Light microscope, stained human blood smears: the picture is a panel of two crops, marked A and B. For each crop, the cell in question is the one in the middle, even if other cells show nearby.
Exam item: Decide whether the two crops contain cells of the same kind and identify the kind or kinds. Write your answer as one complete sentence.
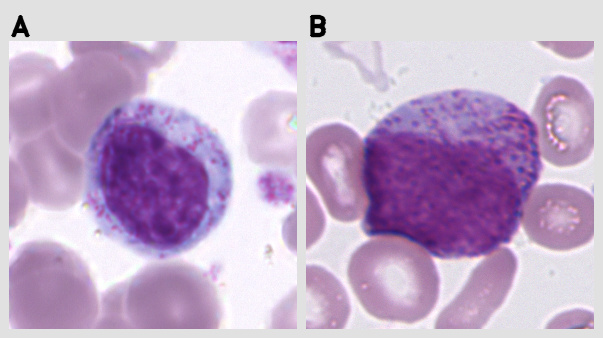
No, as for crop A, it shows a myelocyte, and crop B shows a promyelocyte.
